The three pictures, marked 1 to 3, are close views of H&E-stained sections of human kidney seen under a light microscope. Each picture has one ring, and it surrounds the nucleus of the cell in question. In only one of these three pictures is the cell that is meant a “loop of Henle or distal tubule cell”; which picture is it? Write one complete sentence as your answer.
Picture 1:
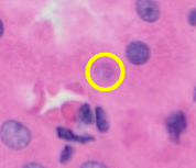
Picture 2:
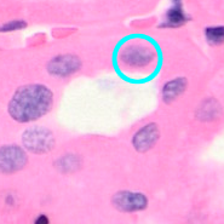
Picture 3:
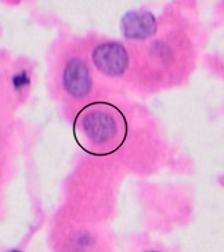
The picture with the “loop of Henle or distal tubule cell” is 2.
